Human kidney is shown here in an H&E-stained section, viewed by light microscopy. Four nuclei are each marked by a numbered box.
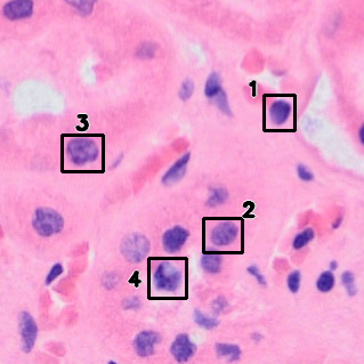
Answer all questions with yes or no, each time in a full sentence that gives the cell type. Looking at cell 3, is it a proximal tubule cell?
Yes, cell number 3 is classified as a proximal tubule cell.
